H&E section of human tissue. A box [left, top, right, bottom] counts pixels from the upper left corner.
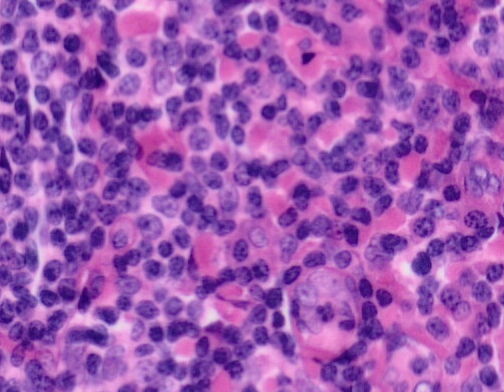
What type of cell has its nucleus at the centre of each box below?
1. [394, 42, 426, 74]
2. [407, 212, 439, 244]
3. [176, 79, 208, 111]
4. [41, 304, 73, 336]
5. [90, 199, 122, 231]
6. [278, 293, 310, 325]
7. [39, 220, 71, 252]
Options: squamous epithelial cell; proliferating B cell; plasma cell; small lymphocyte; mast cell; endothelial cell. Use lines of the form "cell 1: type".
cell 1: plasma cell
cell 2: plasma cell
cell 3: small lymphocyte
cell 4: small lymphocyte
cell 5: small lymphocyte
cell 6: endothelial cell
cell 7: small lymphocyte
